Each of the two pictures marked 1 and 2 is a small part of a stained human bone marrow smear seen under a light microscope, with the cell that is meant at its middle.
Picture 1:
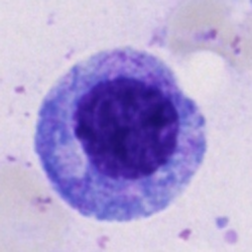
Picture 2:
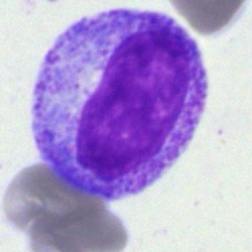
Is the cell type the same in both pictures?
yes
